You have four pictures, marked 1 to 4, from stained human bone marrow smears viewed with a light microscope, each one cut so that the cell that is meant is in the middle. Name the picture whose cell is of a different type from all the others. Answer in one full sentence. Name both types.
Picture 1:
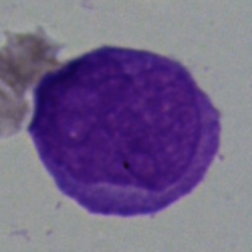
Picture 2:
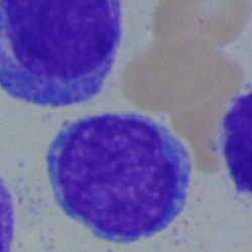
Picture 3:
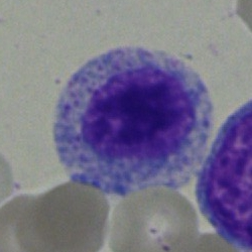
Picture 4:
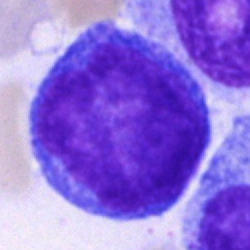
All pictures except 3 show blasts; picture 3 shows a myelocyte.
